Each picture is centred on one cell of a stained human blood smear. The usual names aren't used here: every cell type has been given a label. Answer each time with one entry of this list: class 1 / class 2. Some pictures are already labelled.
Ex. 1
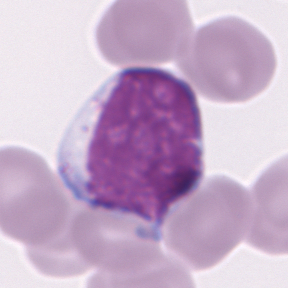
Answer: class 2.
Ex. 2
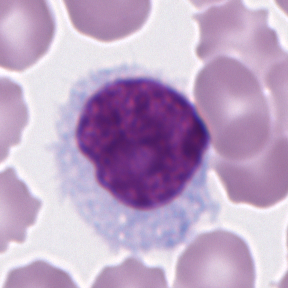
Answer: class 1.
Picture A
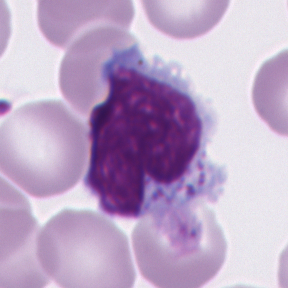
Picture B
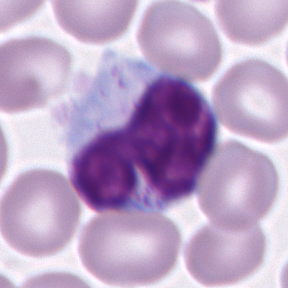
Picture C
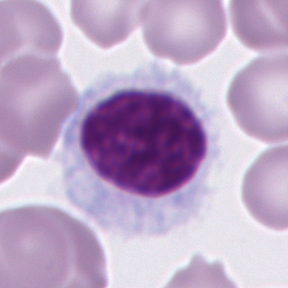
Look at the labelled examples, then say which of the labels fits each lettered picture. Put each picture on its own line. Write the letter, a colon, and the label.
A: class 2.
B: class 2.
C: class 1.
